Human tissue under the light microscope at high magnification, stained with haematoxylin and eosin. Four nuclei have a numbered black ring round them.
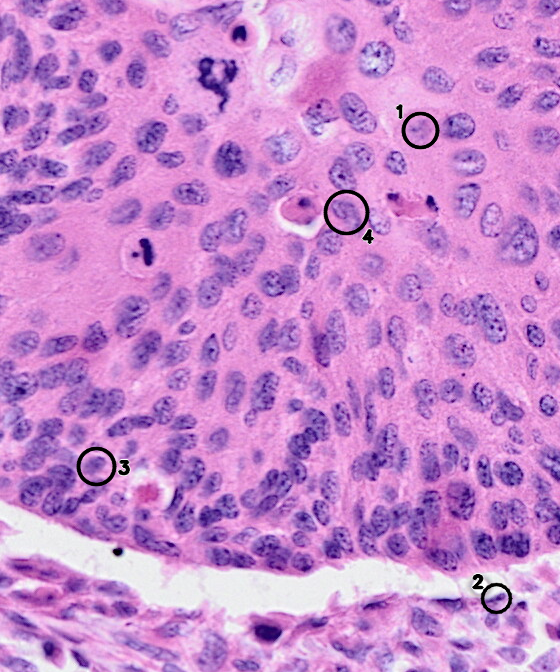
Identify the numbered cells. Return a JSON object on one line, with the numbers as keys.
{"1": "squamous carcinoma cell", "2": "fibroblast", "3": "squamous carcinoma cell", "4": "squamous carcinoma cell"}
